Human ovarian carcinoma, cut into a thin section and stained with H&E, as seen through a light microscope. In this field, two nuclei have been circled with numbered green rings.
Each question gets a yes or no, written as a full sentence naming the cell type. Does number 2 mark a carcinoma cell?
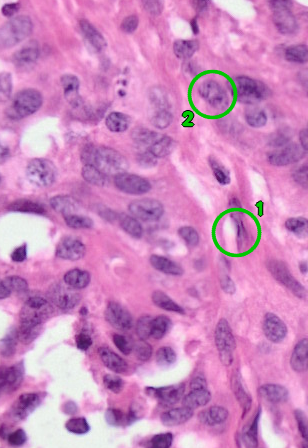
Yes, that is right: the cell labelled 2 is a carcinoma cell.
